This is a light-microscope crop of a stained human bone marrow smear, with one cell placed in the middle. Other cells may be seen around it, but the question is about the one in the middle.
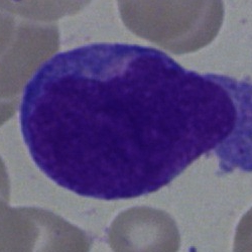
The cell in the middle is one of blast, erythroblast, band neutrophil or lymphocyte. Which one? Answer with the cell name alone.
blast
